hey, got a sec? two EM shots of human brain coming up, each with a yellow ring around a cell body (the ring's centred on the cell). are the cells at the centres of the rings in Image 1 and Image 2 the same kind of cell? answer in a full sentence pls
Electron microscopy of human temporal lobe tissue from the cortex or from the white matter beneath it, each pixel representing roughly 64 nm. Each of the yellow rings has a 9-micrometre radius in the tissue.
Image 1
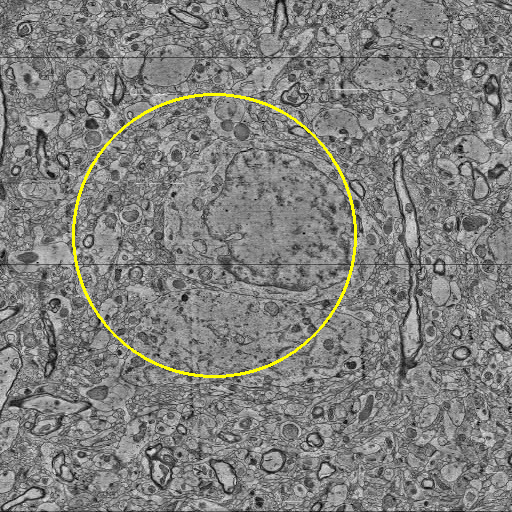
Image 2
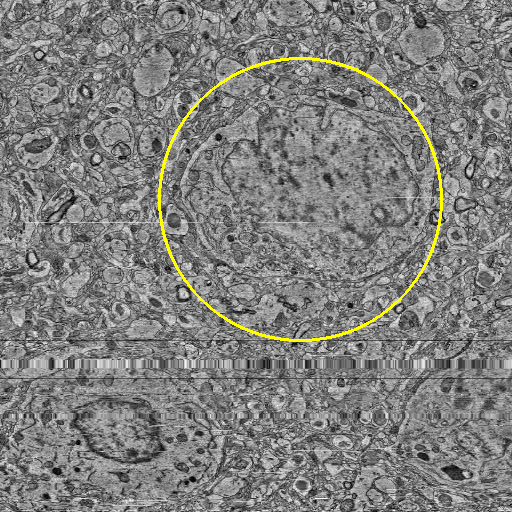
Yes, both are the same kind of cell.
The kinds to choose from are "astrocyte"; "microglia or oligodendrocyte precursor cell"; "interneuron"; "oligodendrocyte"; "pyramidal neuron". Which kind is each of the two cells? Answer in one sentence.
Both rings mark an interneuron, one in each picture.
